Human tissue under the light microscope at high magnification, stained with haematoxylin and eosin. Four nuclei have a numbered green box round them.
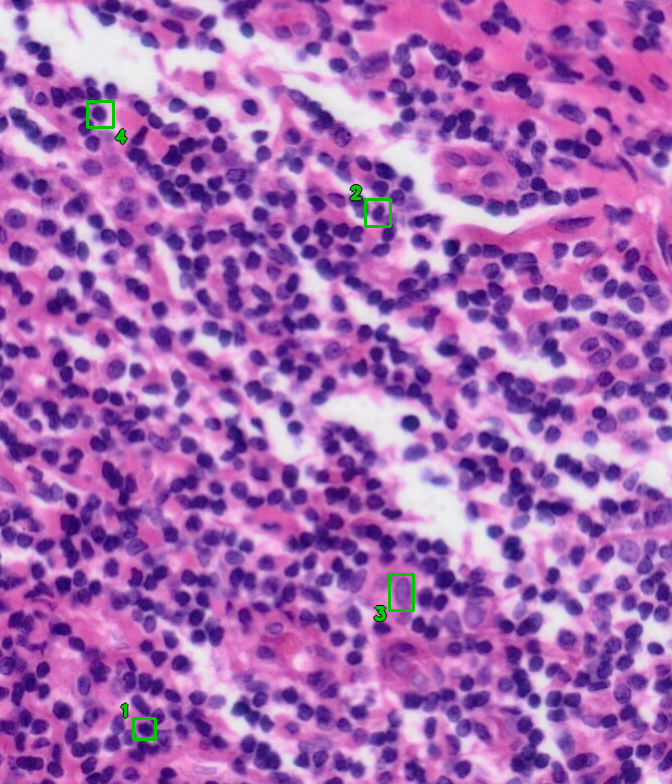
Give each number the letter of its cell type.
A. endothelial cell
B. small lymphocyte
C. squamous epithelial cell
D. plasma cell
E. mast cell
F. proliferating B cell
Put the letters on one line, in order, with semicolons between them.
B; B; A; B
